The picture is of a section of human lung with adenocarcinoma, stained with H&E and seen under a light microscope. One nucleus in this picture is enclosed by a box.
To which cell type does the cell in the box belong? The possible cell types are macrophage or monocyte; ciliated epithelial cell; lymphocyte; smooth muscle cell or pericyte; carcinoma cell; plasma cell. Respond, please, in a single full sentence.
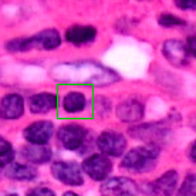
Right, so the cell in the box is a lymphocyte, to answer that.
